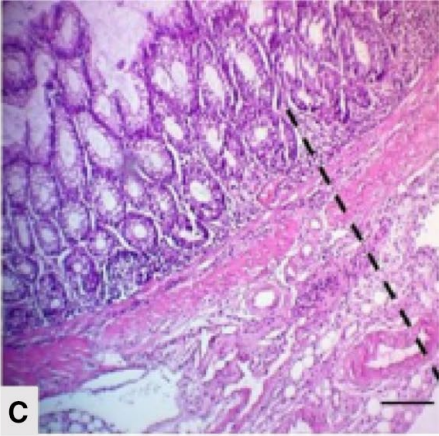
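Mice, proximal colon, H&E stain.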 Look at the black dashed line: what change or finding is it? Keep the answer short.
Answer: transmural infiltration of inflammatory cells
